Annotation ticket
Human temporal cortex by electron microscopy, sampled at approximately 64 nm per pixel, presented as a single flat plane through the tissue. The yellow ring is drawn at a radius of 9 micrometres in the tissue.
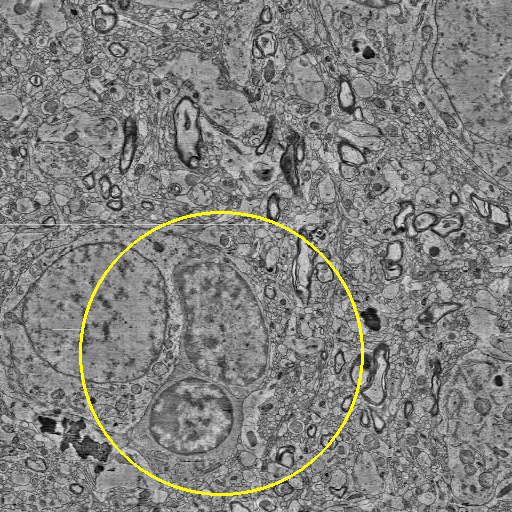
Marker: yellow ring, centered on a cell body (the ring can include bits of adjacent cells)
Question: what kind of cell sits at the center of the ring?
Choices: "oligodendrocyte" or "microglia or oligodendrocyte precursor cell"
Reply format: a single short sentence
The ring is centered on an oligodendrocyte.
